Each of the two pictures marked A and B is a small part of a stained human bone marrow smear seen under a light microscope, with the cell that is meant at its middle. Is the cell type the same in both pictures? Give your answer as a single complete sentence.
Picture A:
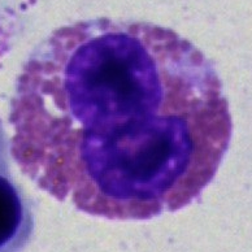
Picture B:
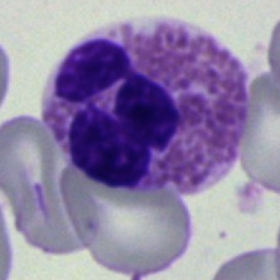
Yes; the cells in both pictures are eosinophils.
